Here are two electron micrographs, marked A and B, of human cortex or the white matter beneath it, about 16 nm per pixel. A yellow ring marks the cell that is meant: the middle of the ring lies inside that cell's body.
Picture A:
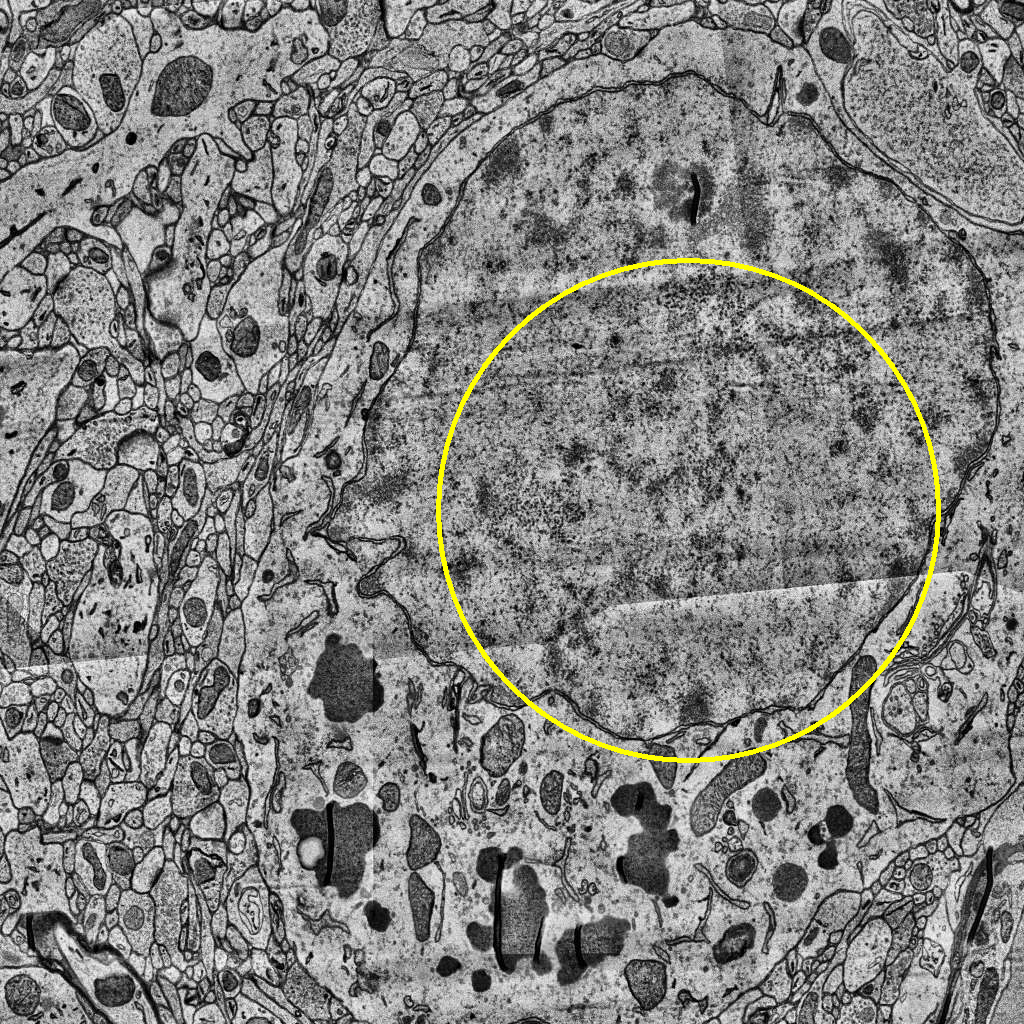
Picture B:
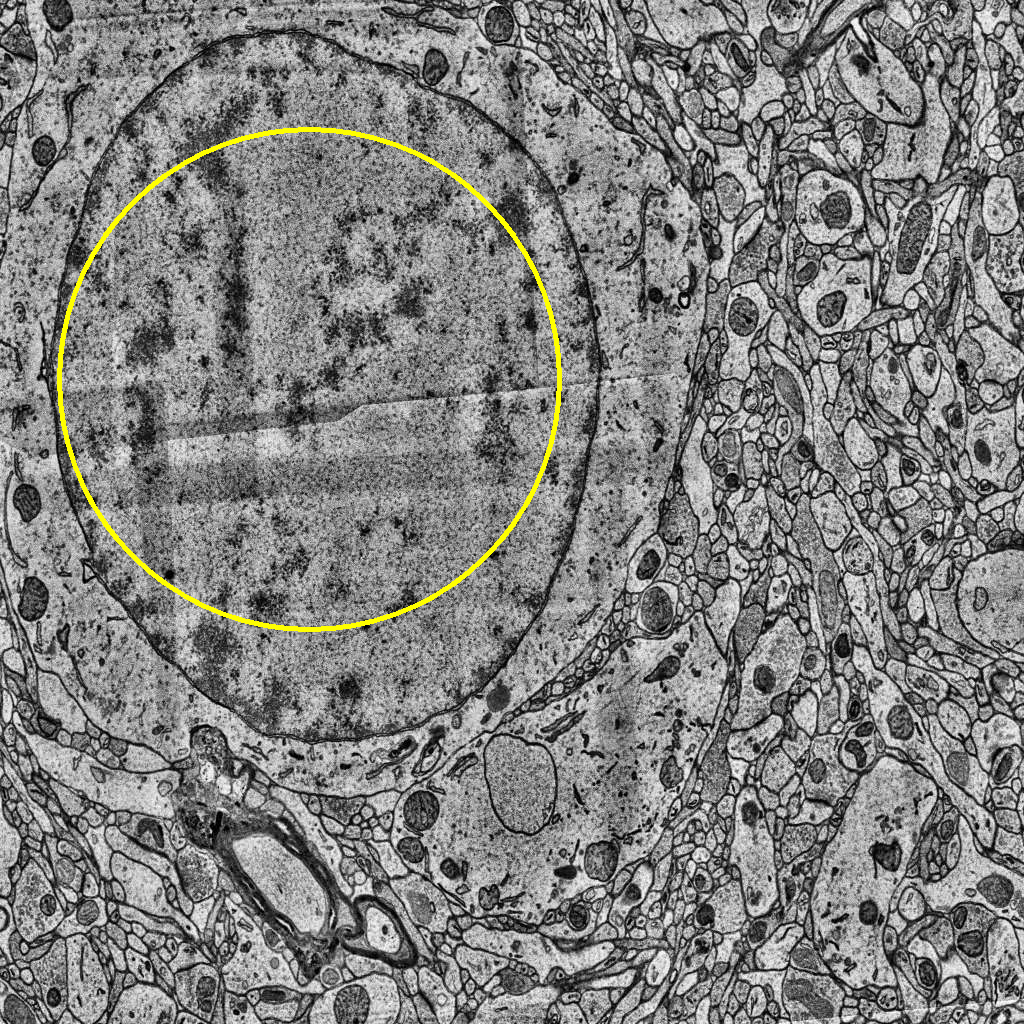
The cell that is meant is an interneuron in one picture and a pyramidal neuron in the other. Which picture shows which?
Picture A shows an interneuron and picture B shows a pyramidal neuron.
